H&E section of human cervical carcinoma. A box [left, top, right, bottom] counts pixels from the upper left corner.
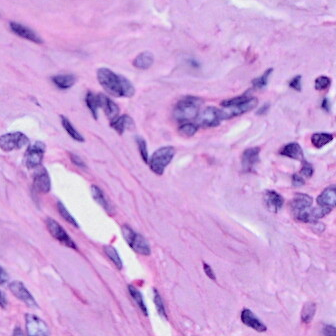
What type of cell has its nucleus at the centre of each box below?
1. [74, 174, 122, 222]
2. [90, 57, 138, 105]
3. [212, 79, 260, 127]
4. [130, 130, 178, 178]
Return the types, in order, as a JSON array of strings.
["endothelial cell", "fibroblast", "endothelial cell", "fibroblast"]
